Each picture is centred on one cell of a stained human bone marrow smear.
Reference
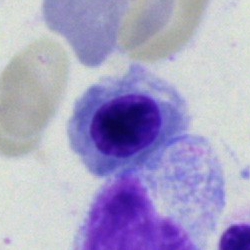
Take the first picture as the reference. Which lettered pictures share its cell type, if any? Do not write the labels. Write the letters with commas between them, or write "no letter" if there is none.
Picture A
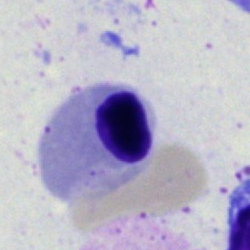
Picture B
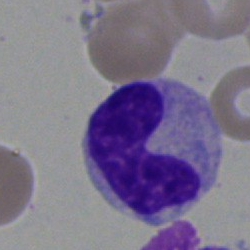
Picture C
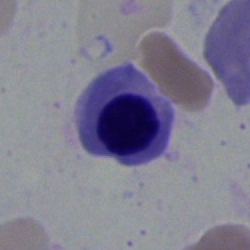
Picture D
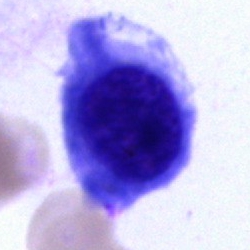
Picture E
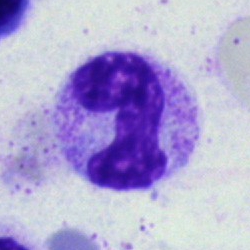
A, C, D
